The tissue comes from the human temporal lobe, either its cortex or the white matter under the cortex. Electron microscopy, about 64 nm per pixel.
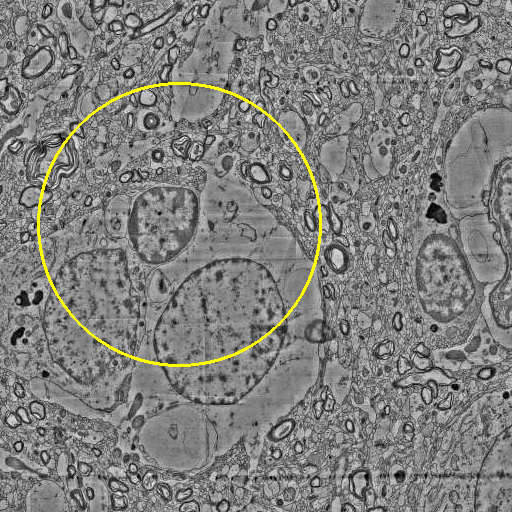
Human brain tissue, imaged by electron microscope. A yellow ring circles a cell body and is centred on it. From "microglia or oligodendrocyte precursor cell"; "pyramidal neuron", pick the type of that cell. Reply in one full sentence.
The cell body at the centre of the yellow ring belongs to a microglial cell or oligodendrocyte precursor cell.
